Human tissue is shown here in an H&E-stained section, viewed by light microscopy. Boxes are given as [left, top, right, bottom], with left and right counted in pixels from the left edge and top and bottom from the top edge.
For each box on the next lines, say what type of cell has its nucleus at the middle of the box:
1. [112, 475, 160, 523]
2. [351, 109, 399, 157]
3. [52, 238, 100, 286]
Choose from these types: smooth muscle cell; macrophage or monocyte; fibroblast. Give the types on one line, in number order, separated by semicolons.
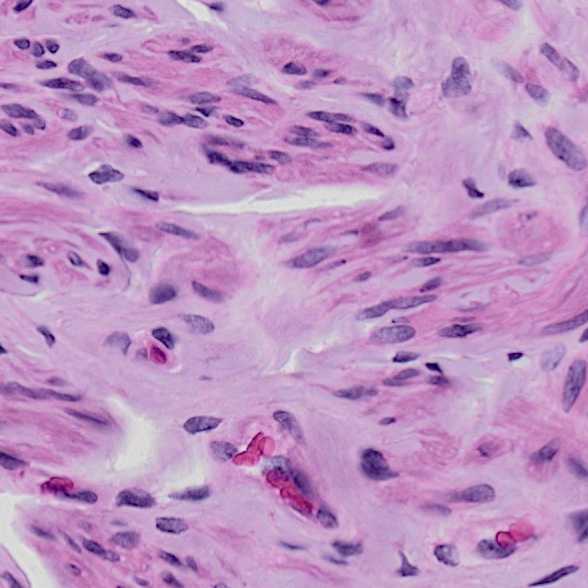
fibroblast; smooth muscle cell; smooth muscle cell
